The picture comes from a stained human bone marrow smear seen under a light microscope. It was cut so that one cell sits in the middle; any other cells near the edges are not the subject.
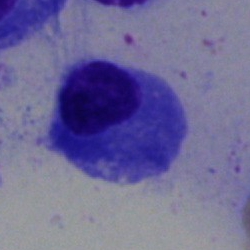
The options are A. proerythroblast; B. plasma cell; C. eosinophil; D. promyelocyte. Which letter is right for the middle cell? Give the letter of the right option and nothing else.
B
